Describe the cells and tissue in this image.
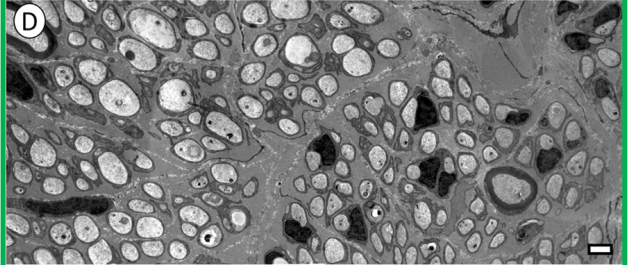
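This electron micrograph of a nerve shows numerous unmyelinated axons with a single myelinated fiber among them. The unmyelinated axons are pale, mostly round to oval profiles of widely varying size, each bounded by a thin darker rim, and some contain small dark dots. The single myelinated fiber, in the lower right half, has a dark ring of myelin around a pale axon. Scattered small, solid dark irregular profiles lie among the axons, and grey interstitial tissue with fine lines fills the spaces between fiber groups.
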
